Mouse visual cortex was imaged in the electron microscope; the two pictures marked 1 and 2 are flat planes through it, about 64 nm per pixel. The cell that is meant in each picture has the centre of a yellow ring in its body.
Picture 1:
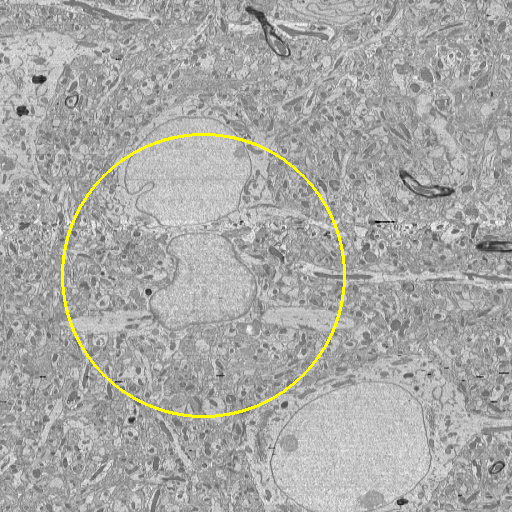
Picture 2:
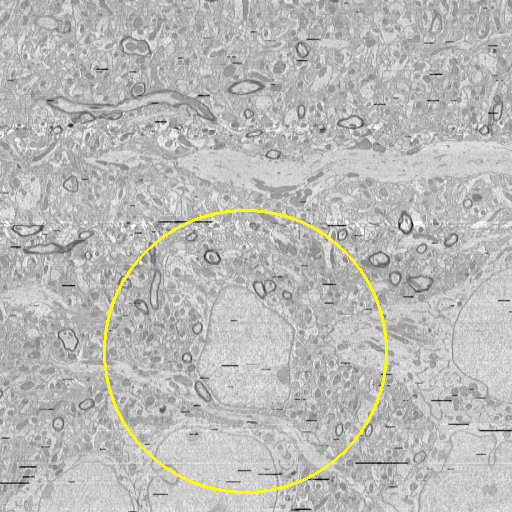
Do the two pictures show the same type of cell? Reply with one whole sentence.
Yes; the cells in both pictures are astrocytes.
